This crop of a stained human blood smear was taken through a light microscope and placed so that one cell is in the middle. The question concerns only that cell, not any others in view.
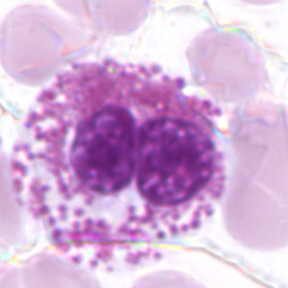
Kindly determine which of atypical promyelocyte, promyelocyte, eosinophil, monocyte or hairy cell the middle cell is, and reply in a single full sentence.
In this smear crop, the middle cell is an eosinophil.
